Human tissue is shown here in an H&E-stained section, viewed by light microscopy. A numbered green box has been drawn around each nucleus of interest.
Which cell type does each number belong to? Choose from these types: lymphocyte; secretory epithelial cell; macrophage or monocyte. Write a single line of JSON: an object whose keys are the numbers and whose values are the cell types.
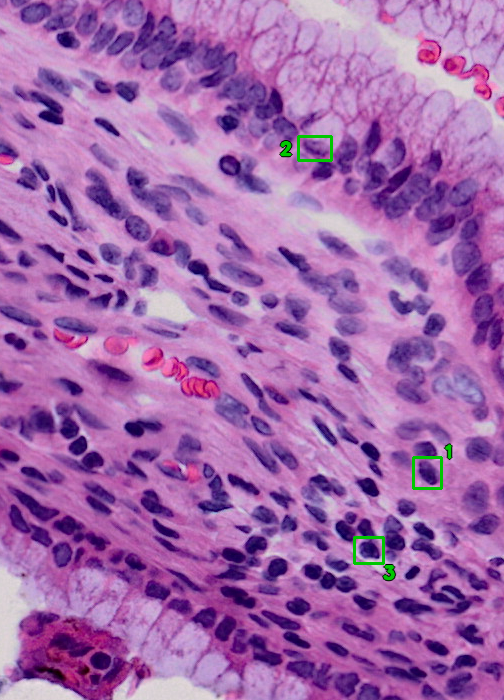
{"1": "lymphocyte", "2": "secretory epithelial cell", "3": "lymphocyte"}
